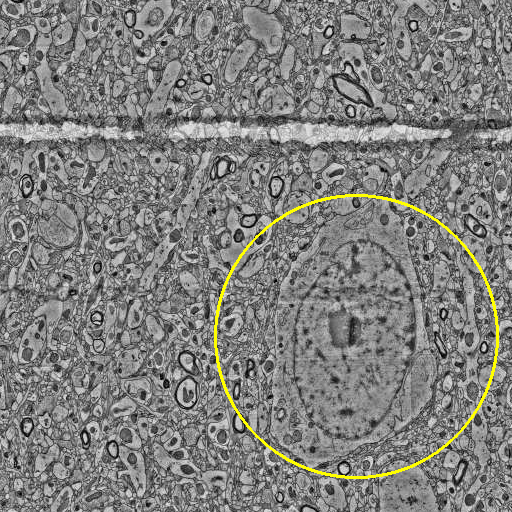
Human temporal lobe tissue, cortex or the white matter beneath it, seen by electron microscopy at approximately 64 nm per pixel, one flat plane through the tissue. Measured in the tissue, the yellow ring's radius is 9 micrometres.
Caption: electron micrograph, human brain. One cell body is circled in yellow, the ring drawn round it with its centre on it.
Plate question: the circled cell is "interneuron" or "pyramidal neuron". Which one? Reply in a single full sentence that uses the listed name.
The yellow ring on the plate is centred on an interneuron, going by the listed names.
